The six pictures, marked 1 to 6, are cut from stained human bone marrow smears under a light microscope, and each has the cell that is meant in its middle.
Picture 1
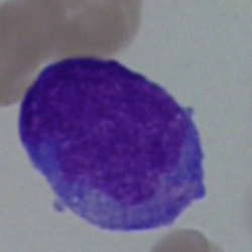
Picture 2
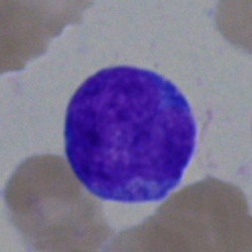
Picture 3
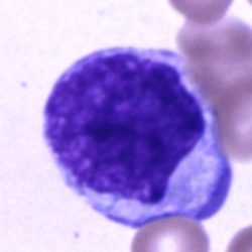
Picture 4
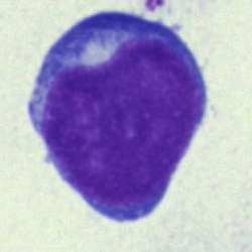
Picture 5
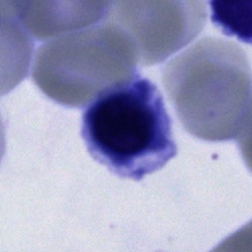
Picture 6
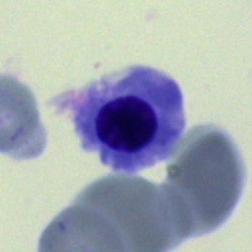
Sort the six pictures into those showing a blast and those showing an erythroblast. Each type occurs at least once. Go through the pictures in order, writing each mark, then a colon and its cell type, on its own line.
1: blast
2: blast
3: blast
4: blast
5: erythroblast
6: erythroblast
